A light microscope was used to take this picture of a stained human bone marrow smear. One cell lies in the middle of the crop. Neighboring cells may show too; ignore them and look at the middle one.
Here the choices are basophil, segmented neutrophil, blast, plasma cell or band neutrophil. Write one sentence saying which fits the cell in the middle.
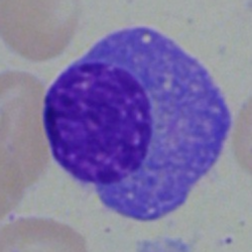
This crop is built around a plasma cell at its centre.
